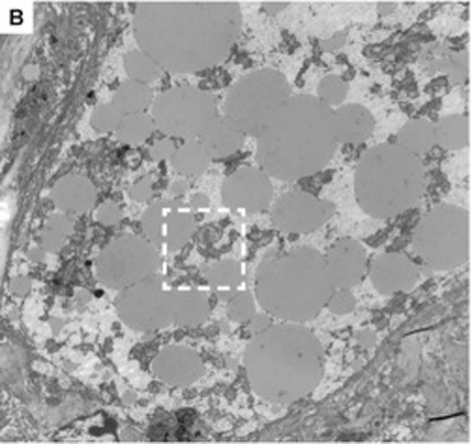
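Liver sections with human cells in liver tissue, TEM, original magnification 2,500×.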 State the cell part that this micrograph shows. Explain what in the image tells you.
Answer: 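Many large round homogeneous grey bodies fill the cytoplasm. The round bodies lack internal structure and a double membrane. They vary in size and crowd the space between other organelles. The answer: large lipid droplets.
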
